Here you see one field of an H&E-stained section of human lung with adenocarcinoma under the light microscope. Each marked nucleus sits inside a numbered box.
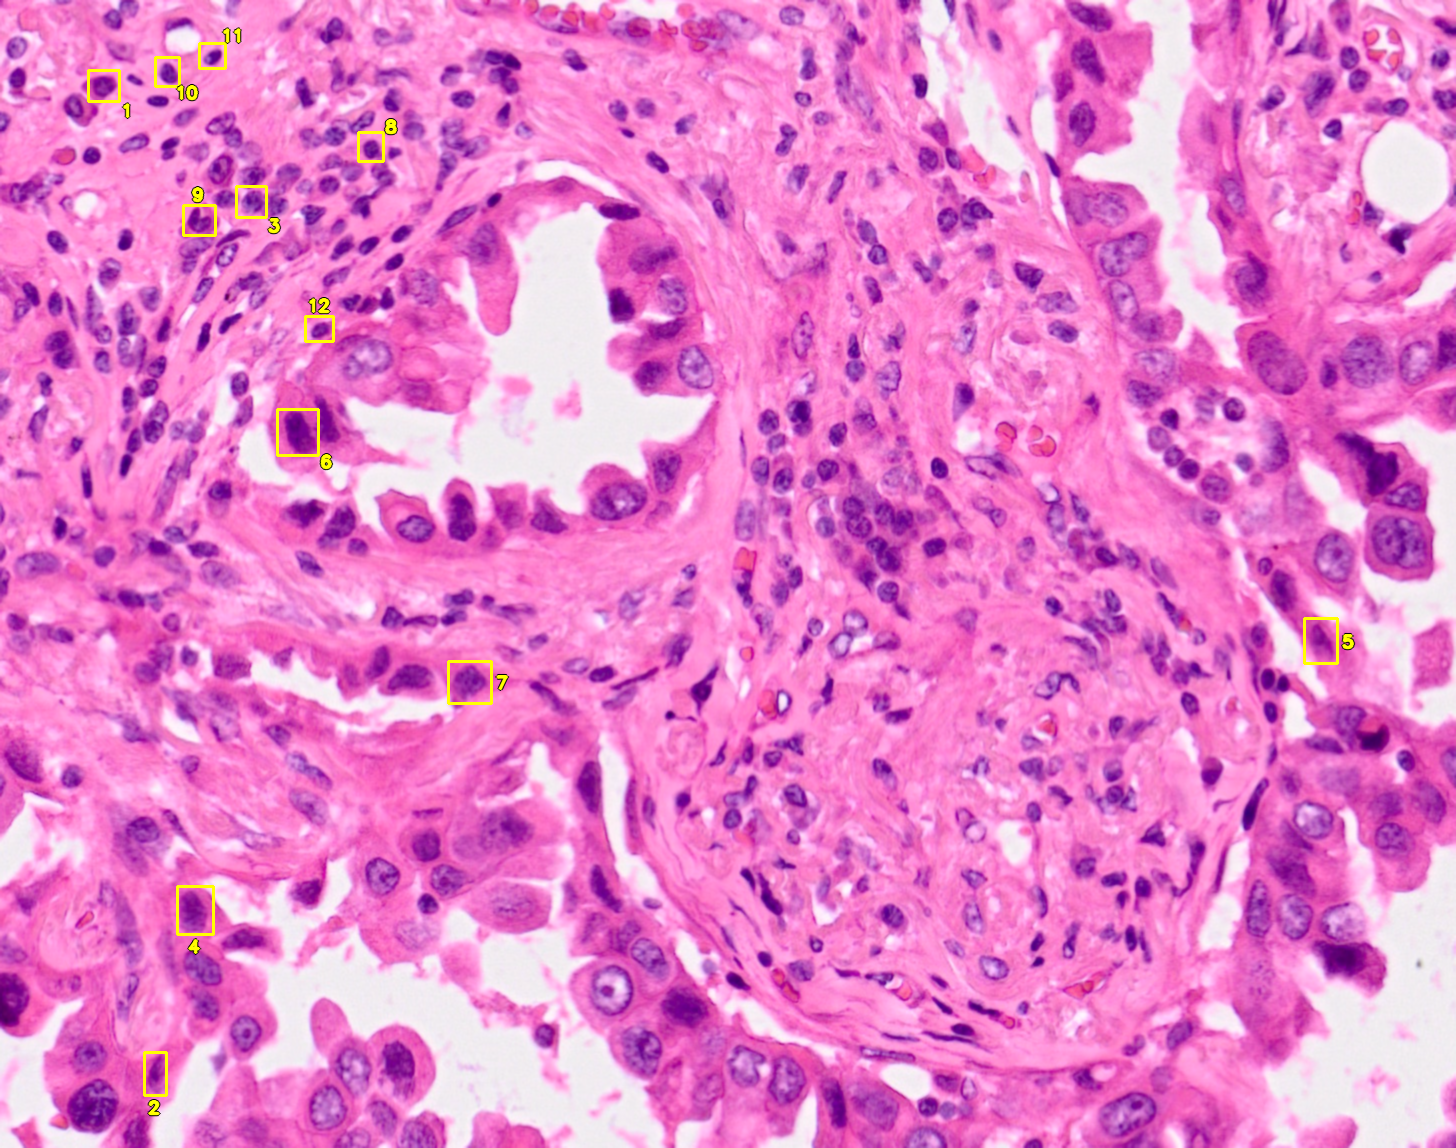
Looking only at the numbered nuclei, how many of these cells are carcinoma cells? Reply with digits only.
5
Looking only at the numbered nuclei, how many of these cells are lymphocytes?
5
